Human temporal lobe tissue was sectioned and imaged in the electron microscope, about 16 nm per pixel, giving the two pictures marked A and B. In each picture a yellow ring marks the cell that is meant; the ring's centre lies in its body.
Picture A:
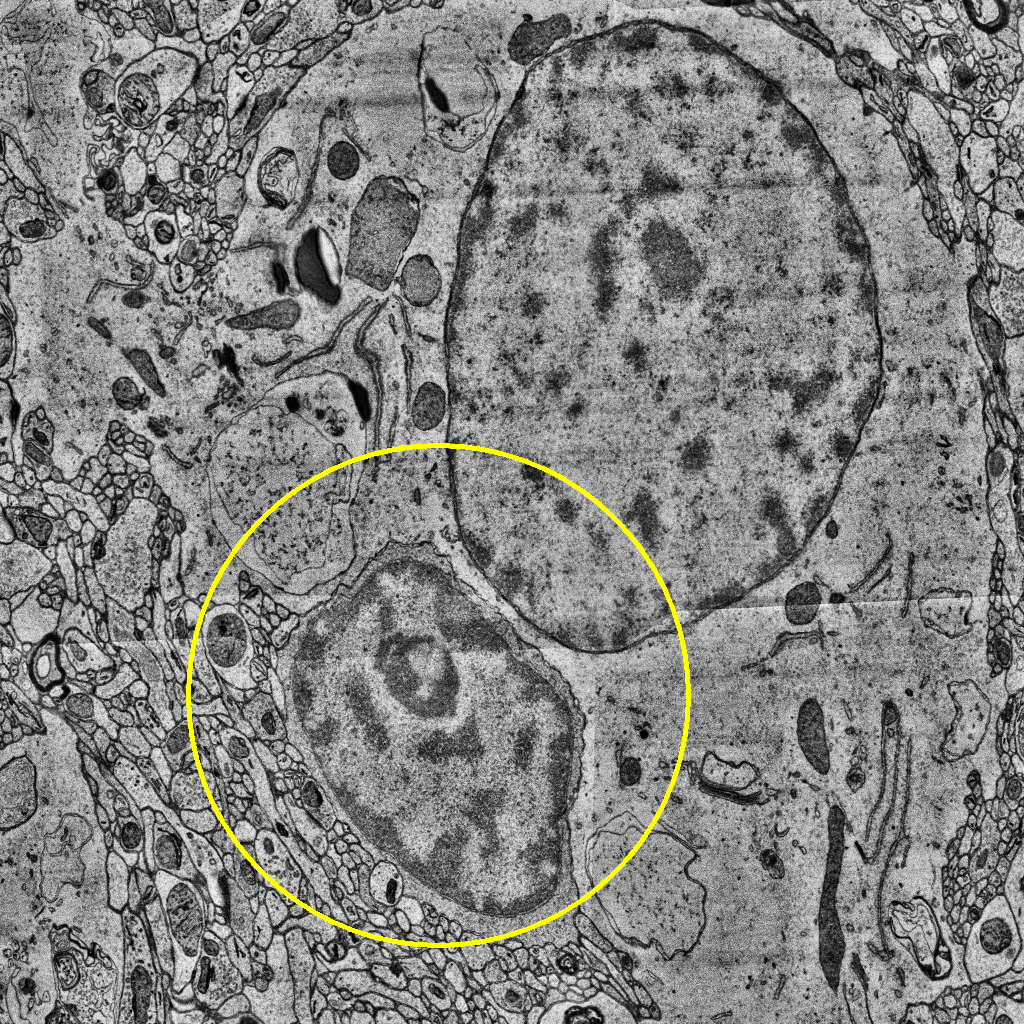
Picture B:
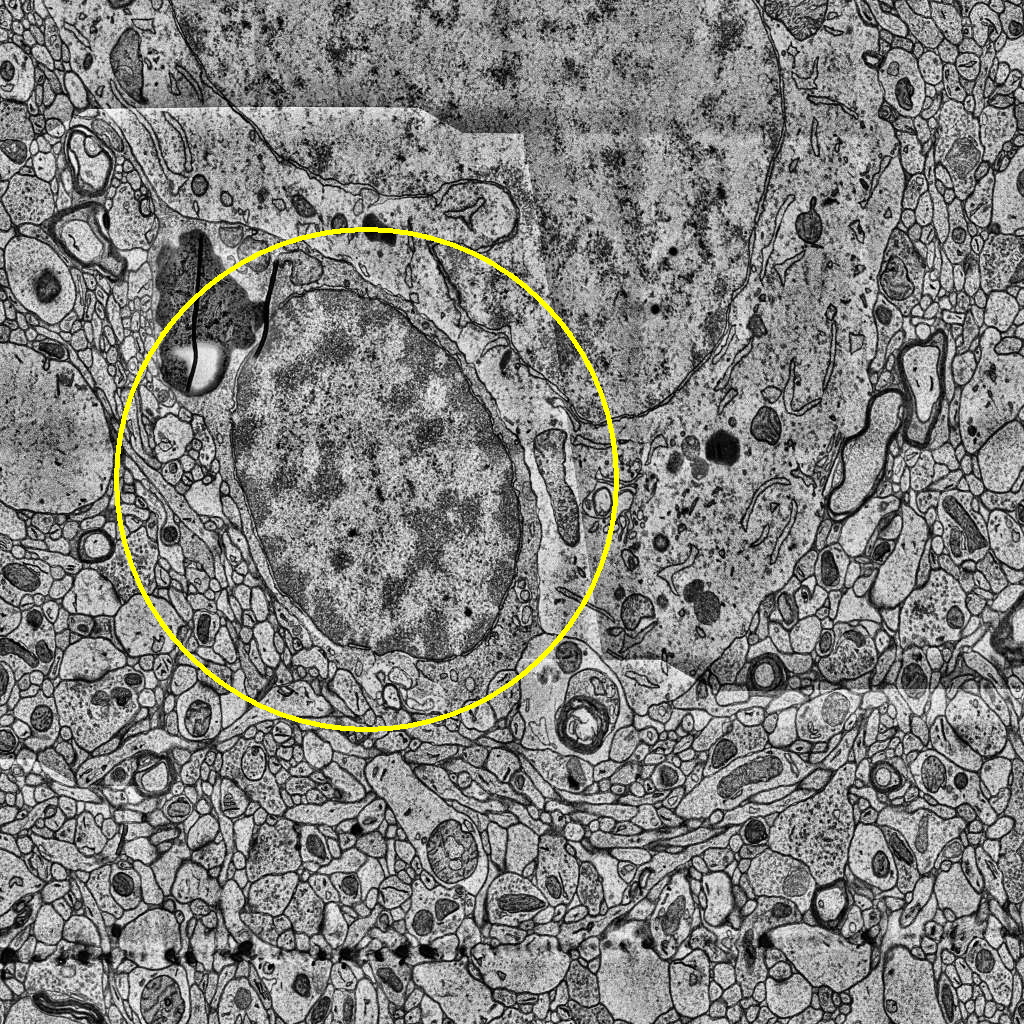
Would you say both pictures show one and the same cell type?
Yes, the two pictures both show oligodendrocytes.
